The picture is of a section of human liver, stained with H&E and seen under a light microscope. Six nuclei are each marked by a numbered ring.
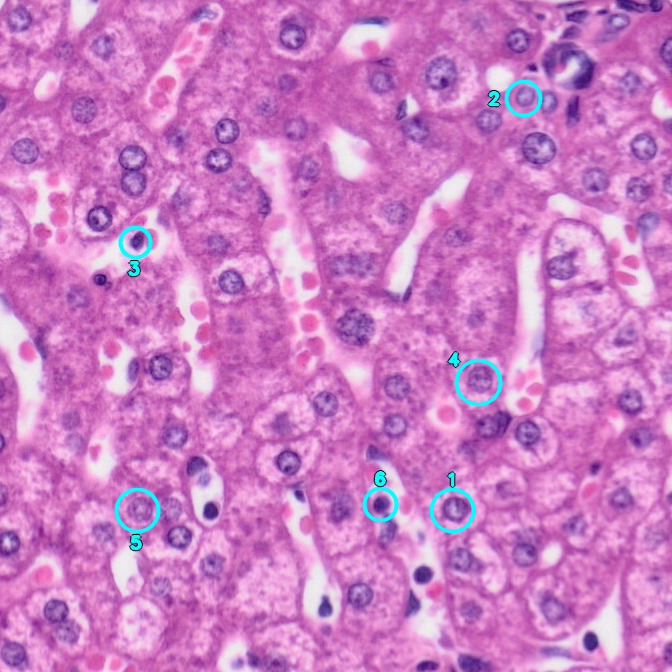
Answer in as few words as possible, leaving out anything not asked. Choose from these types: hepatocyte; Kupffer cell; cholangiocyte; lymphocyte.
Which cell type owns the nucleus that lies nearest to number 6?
Kupffer cell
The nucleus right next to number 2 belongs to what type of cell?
cholangiocyte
